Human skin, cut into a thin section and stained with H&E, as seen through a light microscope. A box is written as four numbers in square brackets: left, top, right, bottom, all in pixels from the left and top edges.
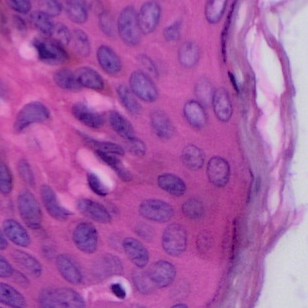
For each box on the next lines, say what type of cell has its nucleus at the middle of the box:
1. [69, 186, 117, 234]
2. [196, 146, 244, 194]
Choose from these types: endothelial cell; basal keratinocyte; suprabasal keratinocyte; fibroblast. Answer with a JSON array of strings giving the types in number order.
["basal keratinocyte", "suprabasal keratinocyte"]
